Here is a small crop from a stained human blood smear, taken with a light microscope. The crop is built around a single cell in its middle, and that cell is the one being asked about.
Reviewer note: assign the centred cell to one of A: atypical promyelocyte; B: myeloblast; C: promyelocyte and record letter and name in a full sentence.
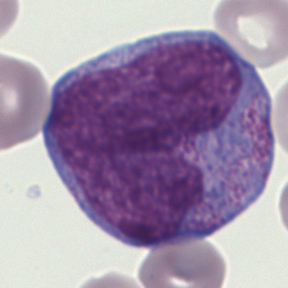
The cell positioned centrally is a promyelocyte, as given in option C, which is correct.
